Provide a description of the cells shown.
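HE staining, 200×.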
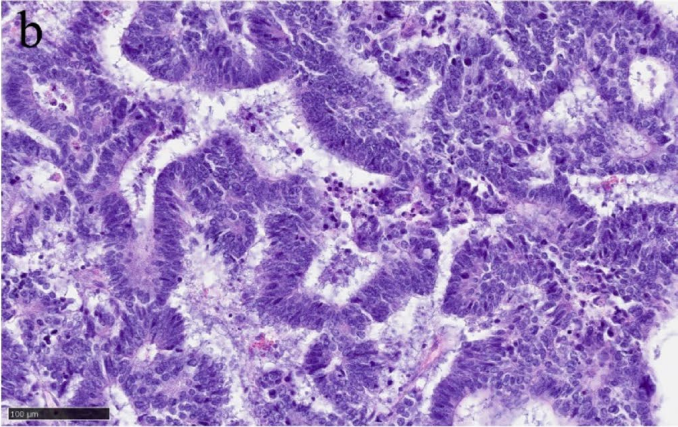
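Adenocarcinoma composed of atypical columnar cells forming irregular, fused and cribriform glands. The cells are tall with crowded, stratified, enlarged and elongated nuclei with coarse dark chromatin and scant purple cytoplasm. Gland lumina are irregular and contain scattered debris and inflammatory cells, with little pale stroma between glands.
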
